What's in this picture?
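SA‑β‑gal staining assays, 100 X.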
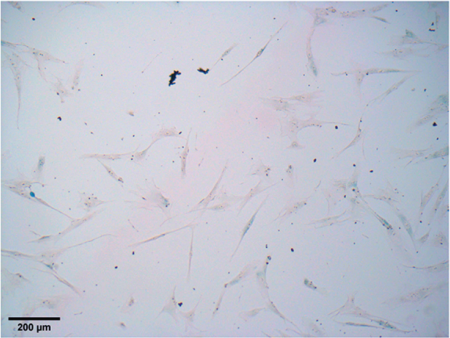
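The cells are spindle-shaped, some with two or three tapering processes, and appear as pale pink-grey outlines against the light background. Only a few cells show a faint bluish tinge. Scattered small dark specks lie over the field, with a small dark clump near the top. The cells are scattered loosely, with open spaces between them.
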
